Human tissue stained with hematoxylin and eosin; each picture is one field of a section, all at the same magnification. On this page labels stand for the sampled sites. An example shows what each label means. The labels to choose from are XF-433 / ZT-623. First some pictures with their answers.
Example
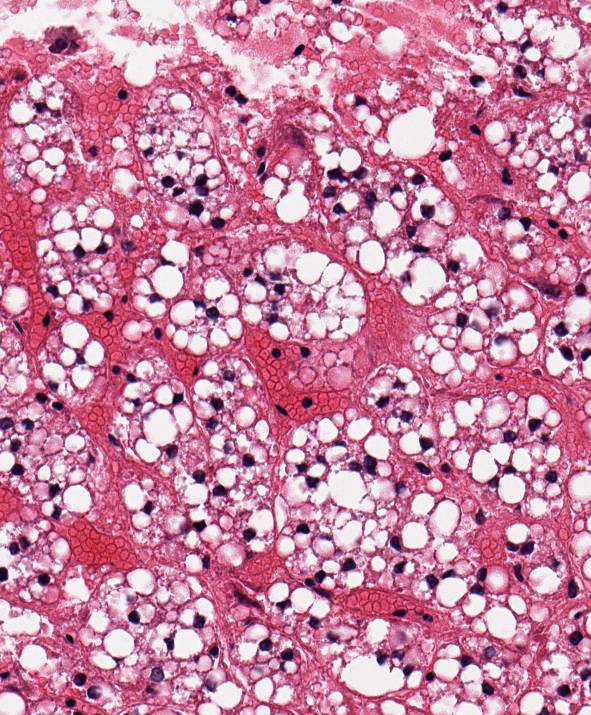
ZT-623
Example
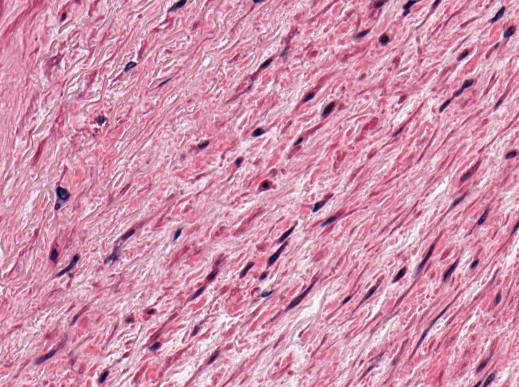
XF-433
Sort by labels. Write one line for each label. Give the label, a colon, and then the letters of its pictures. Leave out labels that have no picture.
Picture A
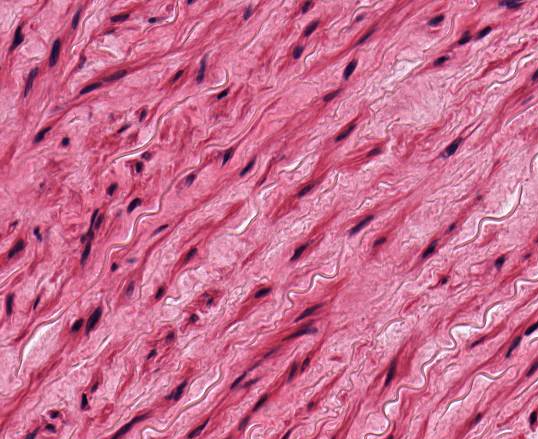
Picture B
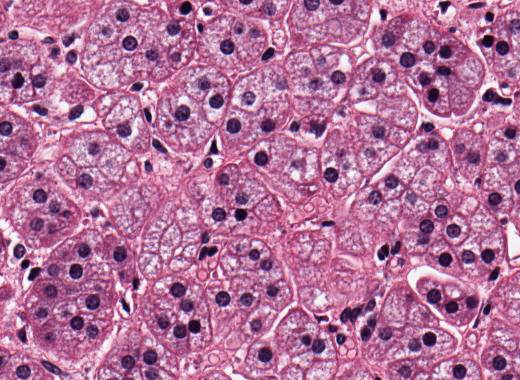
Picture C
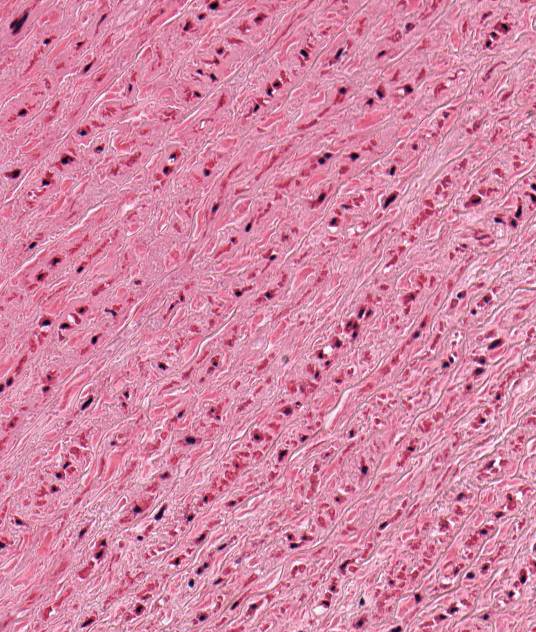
XF-433: A, C
ZT-623: B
